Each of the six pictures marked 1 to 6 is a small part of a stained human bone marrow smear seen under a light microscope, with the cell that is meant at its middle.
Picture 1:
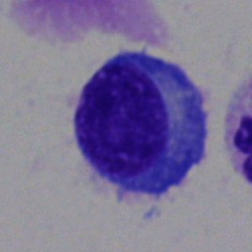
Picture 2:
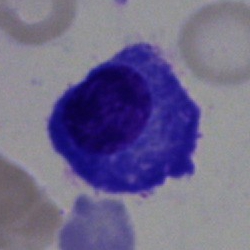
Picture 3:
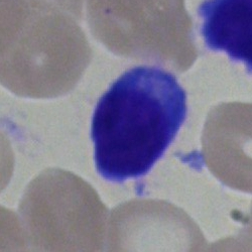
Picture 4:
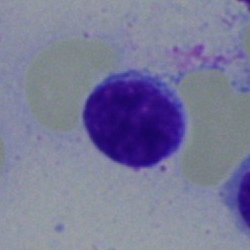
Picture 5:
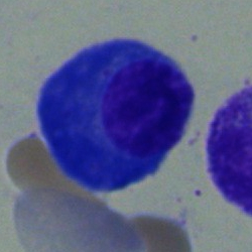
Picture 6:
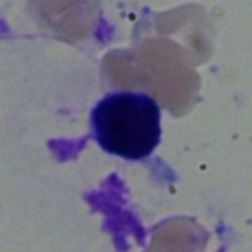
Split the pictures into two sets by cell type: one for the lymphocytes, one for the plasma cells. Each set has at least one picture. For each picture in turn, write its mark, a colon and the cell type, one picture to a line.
1: plasma cell
2: plasma cell
3: plasma cell
4: lymphocyte
5: plasma cell
6: lymphocyte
